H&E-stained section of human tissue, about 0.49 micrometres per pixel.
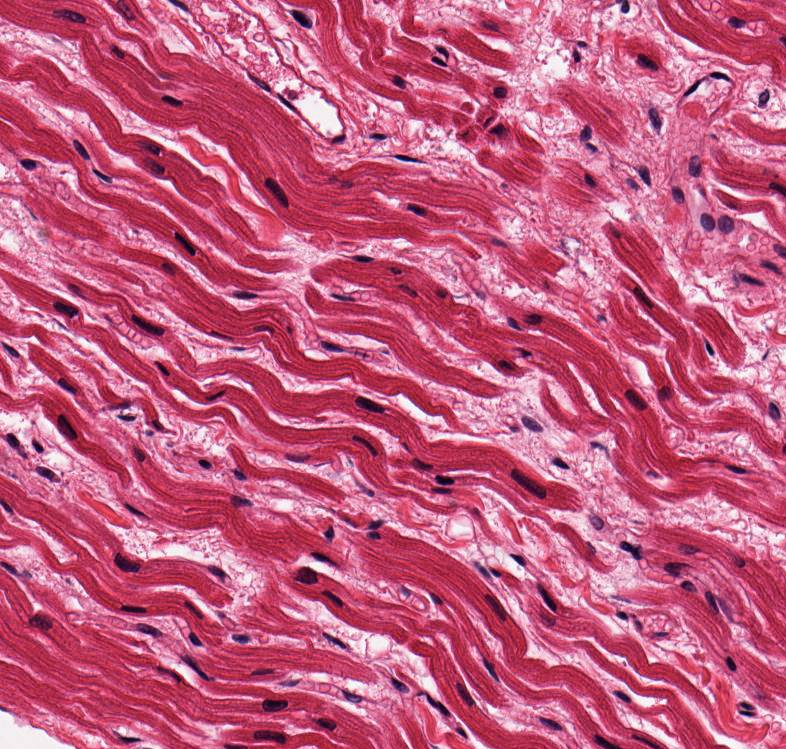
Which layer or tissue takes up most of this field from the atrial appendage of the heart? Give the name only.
myocardium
